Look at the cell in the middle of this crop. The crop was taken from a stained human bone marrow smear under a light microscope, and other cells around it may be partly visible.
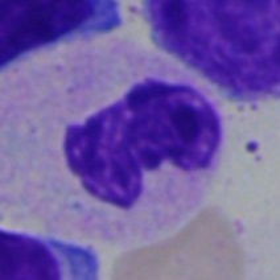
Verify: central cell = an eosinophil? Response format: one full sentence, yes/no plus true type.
No, the central cell is properly termed a band neutrophil, not an eosinophil.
